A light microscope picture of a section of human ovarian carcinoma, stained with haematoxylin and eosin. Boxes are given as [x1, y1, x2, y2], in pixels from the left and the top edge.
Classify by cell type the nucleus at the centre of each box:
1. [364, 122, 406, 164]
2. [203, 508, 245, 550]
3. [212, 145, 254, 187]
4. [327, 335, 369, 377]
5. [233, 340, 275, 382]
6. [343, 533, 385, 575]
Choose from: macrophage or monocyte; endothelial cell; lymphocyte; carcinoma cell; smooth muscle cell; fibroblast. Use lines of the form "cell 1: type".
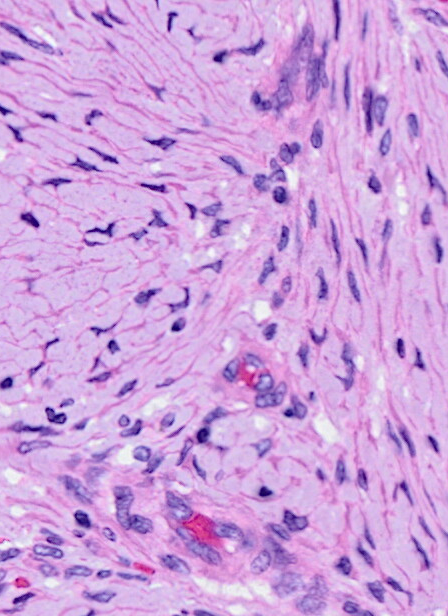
cell 1: fibroblast
cell 2: endothelial cell
cell 3: fibroblast
cell 4: fibroblast
cell 5: endothelial cell
cell 6: fibroblast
